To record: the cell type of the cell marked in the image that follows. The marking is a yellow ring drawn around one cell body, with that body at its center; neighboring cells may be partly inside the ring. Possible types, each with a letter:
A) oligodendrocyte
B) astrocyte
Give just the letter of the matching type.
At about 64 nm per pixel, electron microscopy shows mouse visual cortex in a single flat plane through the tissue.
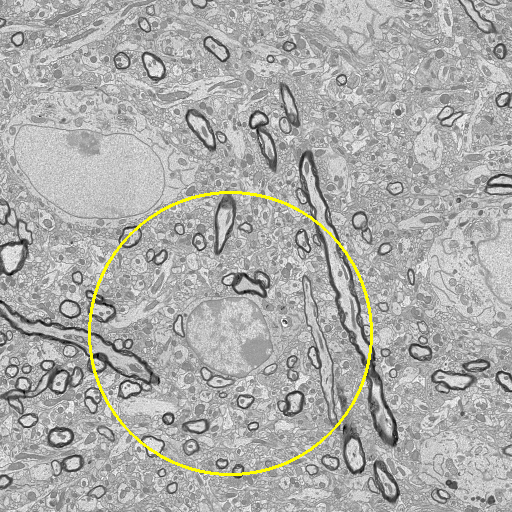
A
